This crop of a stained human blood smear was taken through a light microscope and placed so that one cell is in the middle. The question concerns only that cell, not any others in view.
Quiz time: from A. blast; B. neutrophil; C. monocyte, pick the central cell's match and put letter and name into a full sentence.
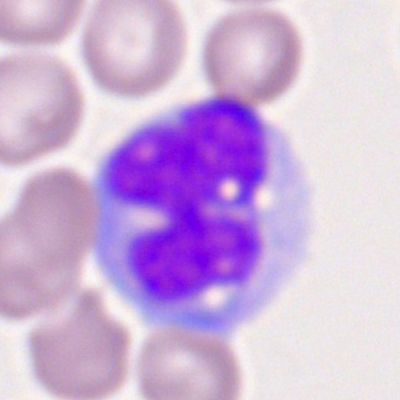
Option C holds, for the cell in the middle is a monocyte.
